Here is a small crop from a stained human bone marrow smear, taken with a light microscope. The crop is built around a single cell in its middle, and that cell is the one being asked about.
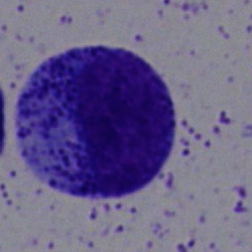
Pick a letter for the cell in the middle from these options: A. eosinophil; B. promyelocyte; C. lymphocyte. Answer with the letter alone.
B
